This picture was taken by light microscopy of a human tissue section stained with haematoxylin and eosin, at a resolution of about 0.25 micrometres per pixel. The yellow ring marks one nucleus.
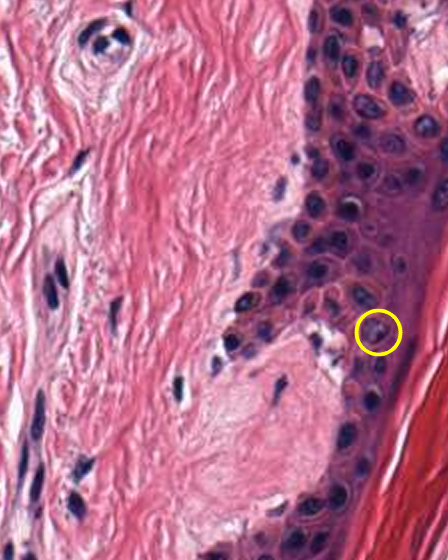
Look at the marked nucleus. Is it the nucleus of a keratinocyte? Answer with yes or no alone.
yes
